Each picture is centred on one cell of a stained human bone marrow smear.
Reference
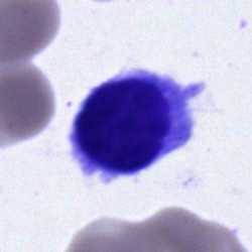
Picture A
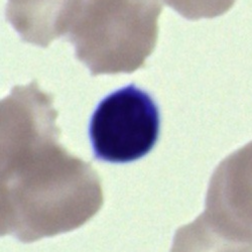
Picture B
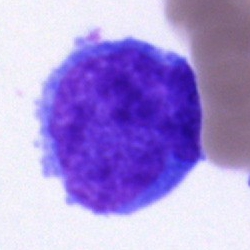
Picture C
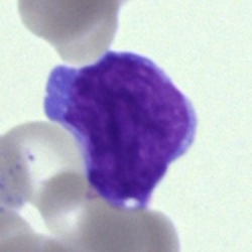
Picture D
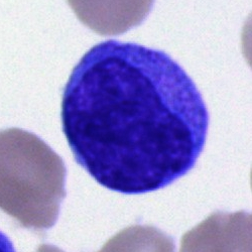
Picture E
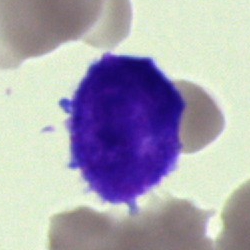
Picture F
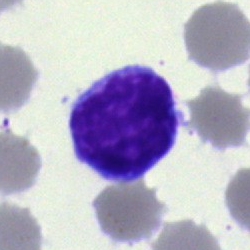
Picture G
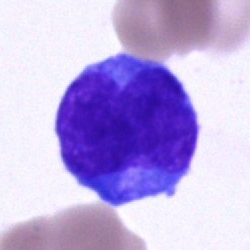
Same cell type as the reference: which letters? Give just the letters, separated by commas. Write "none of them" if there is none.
A, F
